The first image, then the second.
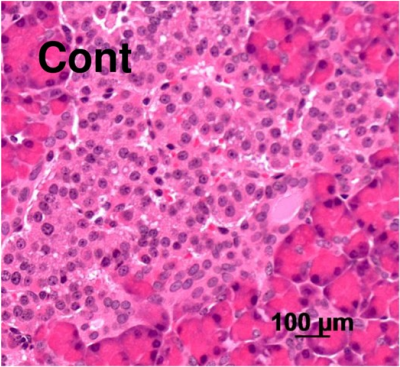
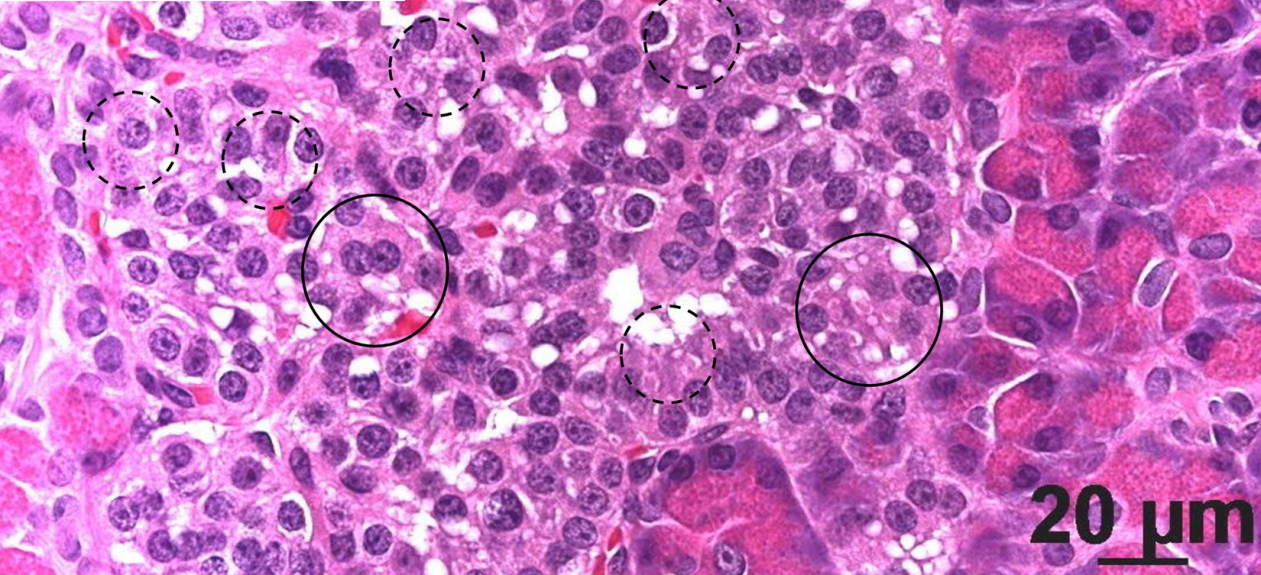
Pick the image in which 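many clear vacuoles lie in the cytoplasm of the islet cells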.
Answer: The second image.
